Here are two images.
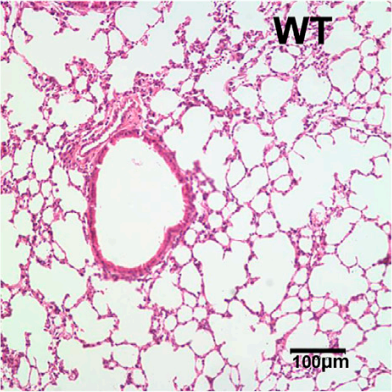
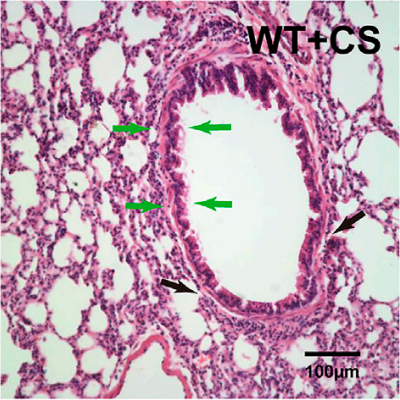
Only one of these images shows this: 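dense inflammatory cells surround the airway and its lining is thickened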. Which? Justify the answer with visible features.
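First image: the airway wall is thin and the surrounding lung has thin alveolar walls with few nuclei. Second image: the airway is ringed by tall crowded lining cells and many dark nuclei packed in the tissue around it.
Hence: the second image.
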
